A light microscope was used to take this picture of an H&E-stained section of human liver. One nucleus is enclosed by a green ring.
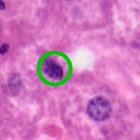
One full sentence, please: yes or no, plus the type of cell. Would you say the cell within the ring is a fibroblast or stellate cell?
Yes, with respect to cell type, the cell within the ring is a fibroblast or stellate cell.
